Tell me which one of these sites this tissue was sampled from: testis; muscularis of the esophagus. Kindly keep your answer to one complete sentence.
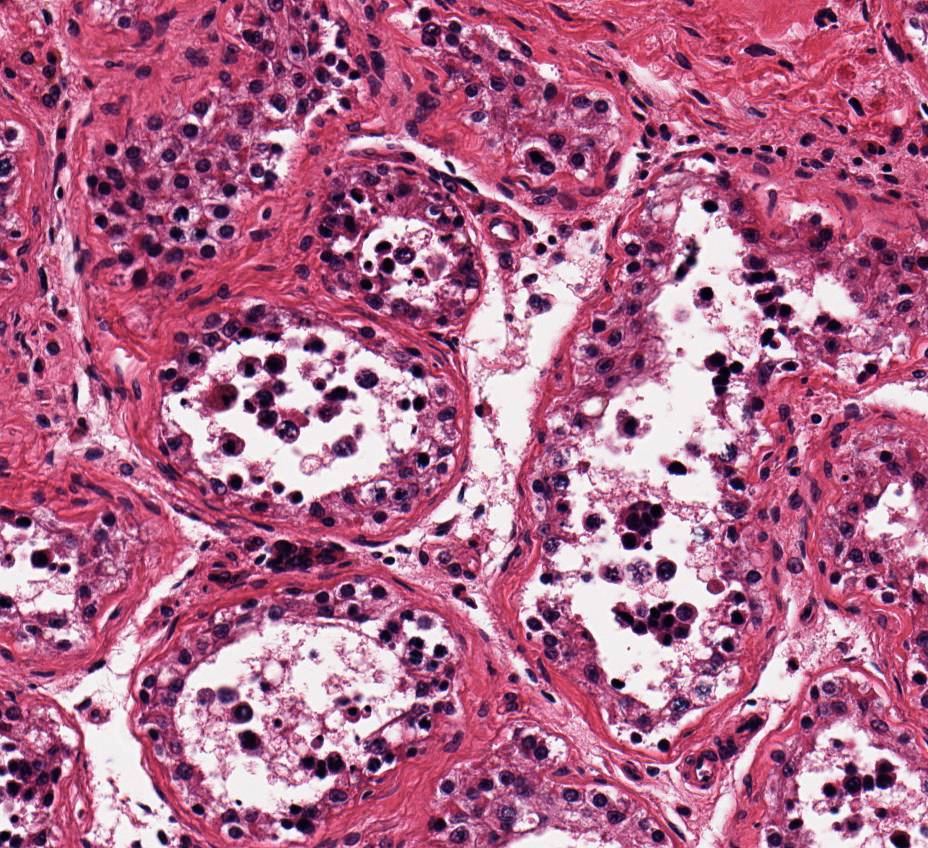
The human tissue in this section was sampled from the testis.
